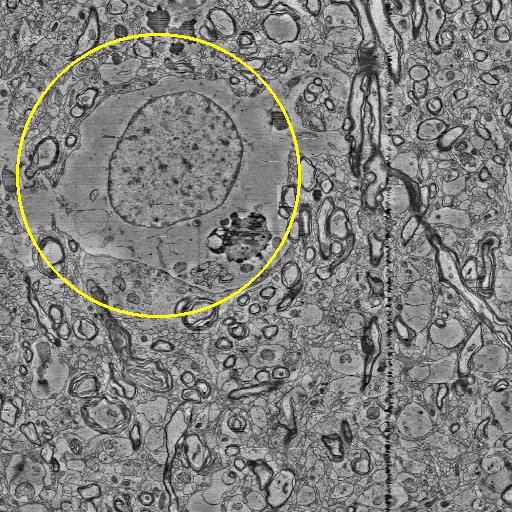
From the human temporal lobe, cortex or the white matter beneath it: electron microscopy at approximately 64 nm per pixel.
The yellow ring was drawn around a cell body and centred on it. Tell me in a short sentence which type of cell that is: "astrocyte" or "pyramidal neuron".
The cell at the ring's centre is an astrocyte.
